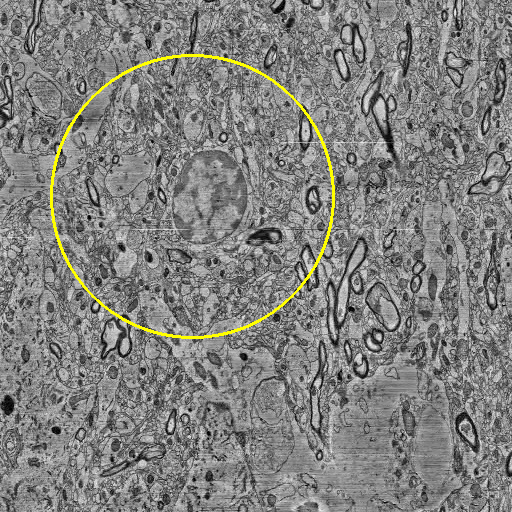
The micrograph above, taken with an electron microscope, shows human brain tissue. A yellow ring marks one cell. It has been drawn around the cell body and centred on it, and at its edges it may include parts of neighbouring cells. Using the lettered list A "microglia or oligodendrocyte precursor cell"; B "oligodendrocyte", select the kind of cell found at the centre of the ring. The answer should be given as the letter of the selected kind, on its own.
A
